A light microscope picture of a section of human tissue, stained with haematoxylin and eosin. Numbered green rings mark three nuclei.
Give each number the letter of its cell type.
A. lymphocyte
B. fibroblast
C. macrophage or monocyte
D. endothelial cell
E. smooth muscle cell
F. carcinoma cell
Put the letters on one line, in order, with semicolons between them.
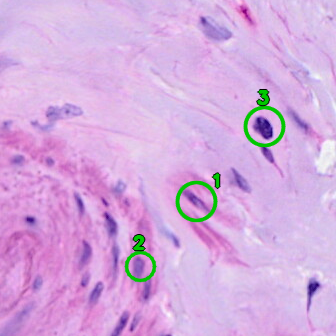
E; E; A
